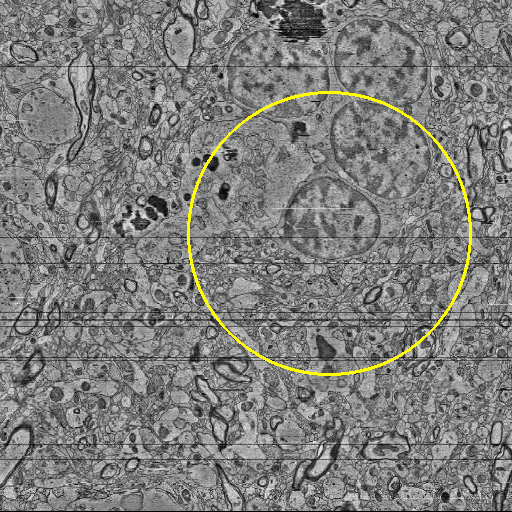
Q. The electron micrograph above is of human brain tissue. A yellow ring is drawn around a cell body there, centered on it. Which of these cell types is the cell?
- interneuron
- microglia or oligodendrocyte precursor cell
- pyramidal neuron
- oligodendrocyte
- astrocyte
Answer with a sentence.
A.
The cell under the ring's center is an oligodendrocyte.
